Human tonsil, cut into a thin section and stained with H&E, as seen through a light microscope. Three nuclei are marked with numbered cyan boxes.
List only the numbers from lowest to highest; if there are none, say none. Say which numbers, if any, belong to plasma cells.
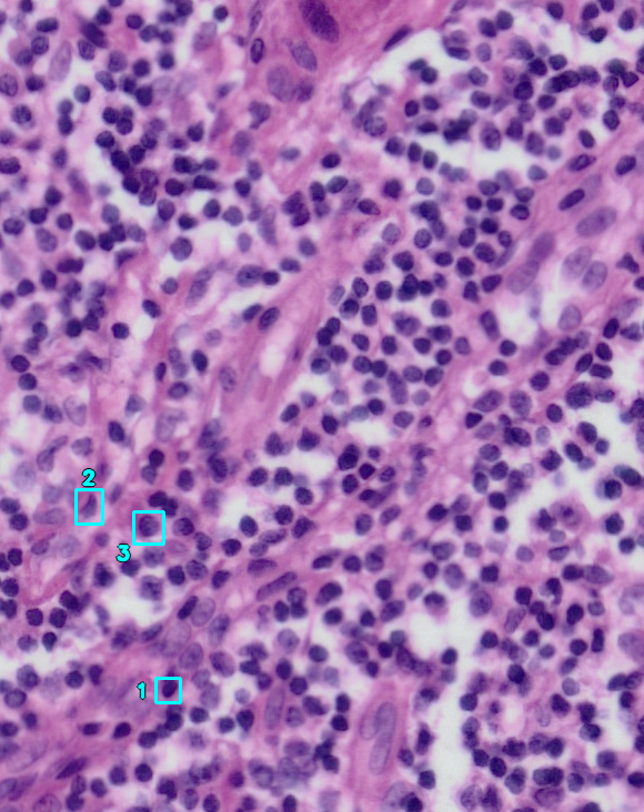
3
